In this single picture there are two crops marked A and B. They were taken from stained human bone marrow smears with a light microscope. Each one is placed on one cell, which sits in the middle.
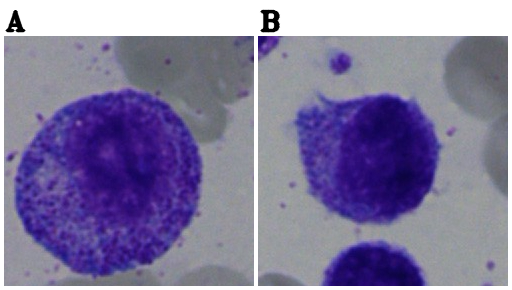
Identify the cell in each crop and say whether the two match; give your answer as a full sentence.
Yes, both crops show promyelocytes, the one and the other.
